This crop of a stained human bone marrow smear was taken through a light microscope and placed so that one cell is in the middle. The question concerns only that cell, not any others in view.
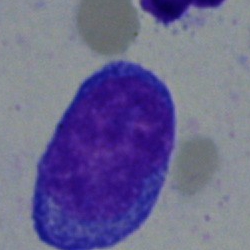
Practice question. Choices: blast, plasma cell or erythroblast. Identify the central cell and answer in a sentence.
The cell under consideration, at the middle of the crop, is a blast.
